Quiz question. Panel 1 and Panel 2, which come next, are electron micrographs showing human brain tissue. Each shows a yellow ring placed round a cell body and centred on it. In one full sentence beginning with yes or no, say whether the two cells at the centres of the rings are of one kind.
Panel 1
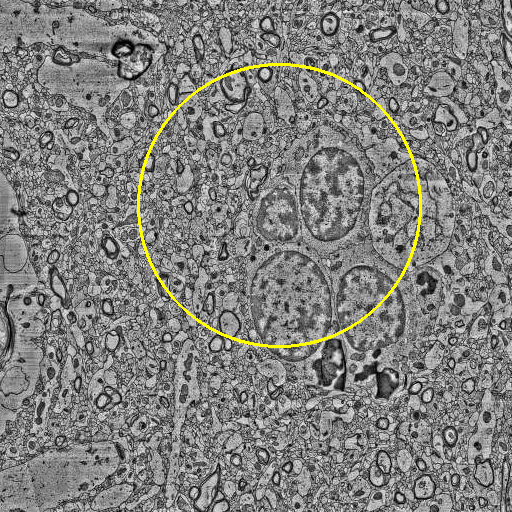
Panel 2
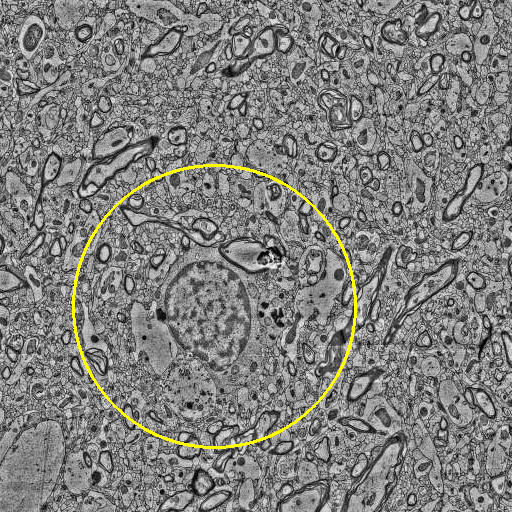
Yes, Panel 1 and Panel 2 show one kind of cell at the centre of the ring.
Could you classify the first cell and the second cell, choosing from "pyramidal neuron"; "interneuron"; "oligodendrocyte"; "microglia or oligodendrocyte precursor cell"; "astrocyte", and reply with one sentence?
The cell in the first picture is an oligodendrocyte, and so is the one in the second.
